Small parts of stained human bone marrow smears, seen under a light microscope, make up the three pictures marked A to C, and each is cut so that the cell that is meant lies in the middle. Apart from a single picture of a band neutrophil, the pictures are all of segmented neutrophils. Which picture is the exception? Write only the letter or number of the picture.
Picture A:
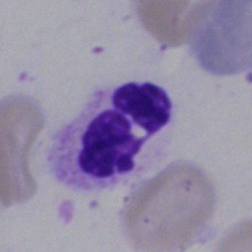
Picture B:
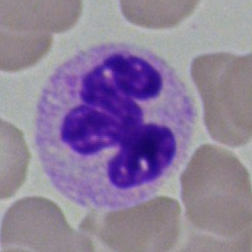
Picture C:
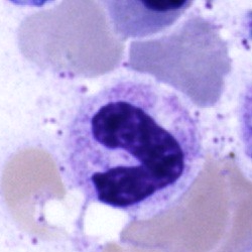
C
